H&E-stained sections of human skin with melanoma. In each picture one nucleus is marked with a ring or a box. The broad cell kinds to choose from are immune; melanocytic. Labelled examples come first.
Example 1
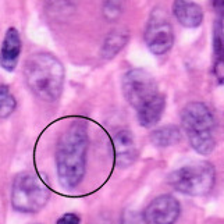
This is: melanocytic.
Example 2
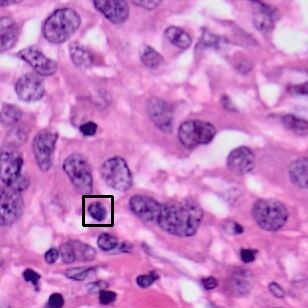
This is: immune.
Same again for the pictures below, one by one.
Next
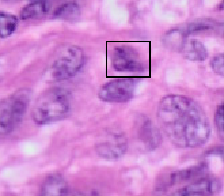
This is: melanocytic.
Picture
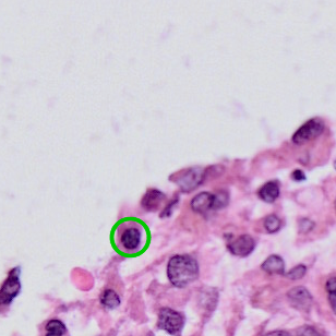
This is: immune.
